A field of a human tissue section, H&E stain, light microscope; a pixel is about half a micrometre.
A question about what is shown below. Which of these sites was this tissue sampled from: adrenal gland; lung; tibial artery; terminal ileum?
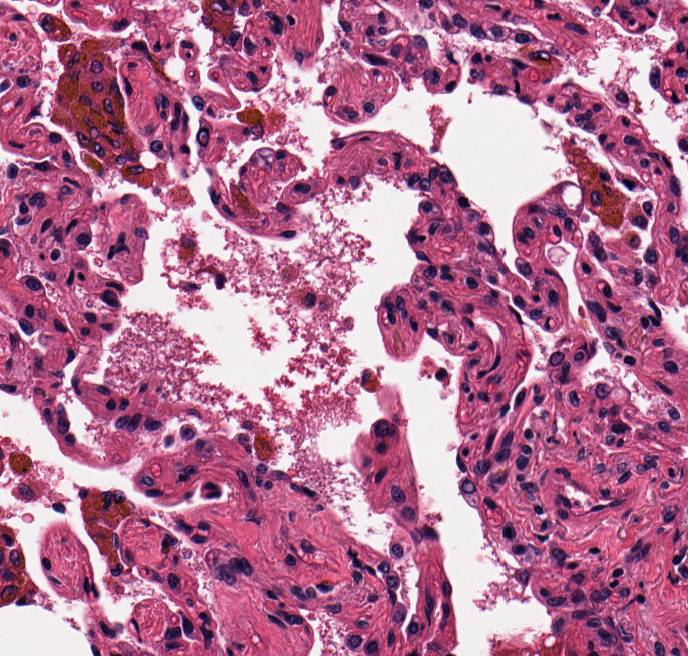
lung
